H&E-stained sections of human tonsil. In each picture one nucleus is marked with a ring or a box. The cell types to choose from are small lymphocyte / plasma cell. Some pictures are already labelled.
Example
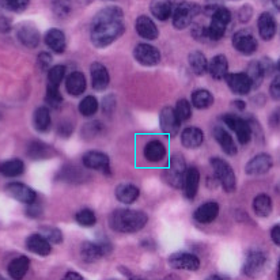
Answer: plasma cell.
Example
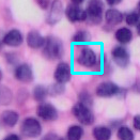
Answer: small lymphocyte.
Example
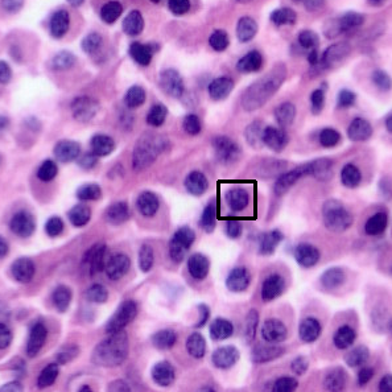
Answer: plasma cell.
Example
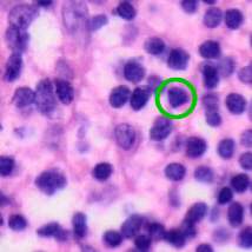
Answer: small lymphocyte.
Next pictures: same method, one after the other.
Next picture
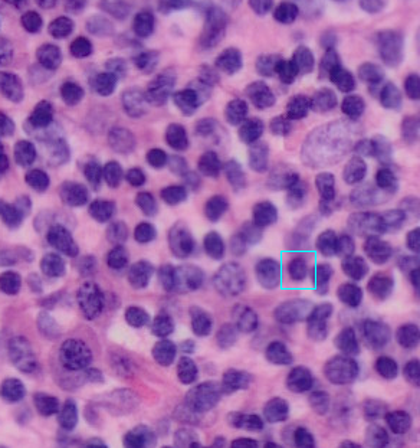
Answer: small lymphocyte.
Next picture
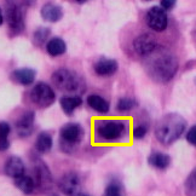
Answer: plasma cell.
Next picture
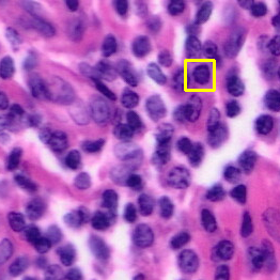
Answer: plasma cell.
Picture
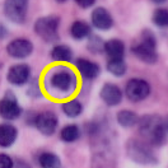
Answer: small lymphocyte.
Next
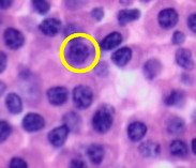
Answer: plasma cell.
